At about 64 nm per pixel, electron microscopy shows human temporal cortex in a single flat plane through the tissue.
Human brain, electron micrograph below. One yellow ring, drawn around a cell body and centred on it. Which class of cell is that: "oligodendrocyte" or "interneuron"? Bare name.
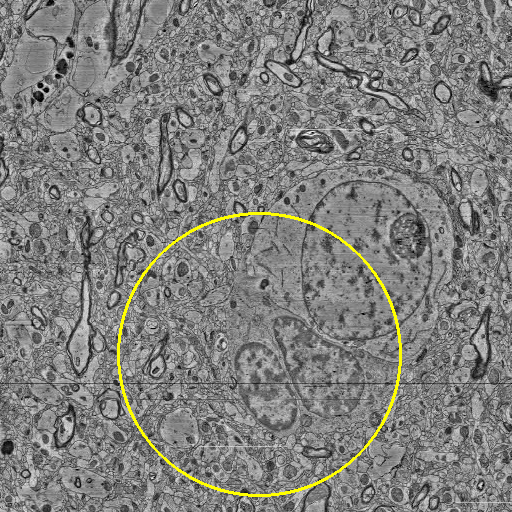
oligodendrocyte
